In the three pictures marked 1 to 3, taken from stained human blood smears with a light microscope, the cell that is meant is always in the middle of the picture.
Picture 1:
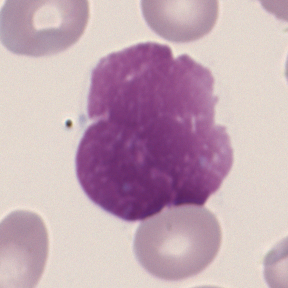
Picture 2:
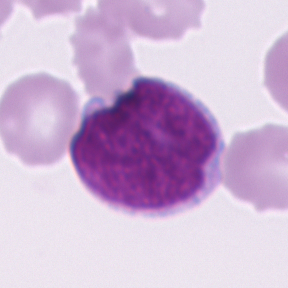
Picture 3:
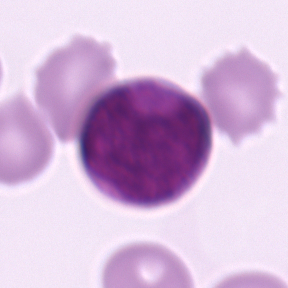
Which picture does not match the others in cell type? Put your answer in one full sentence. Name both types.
Picture 1 differs, because its cell is a smudge cell and the rest are myeloblasts.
